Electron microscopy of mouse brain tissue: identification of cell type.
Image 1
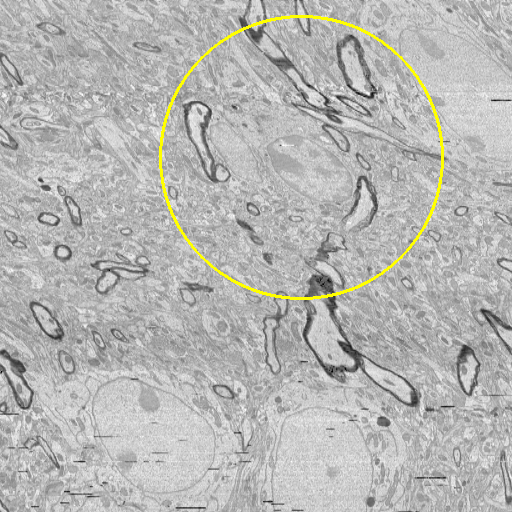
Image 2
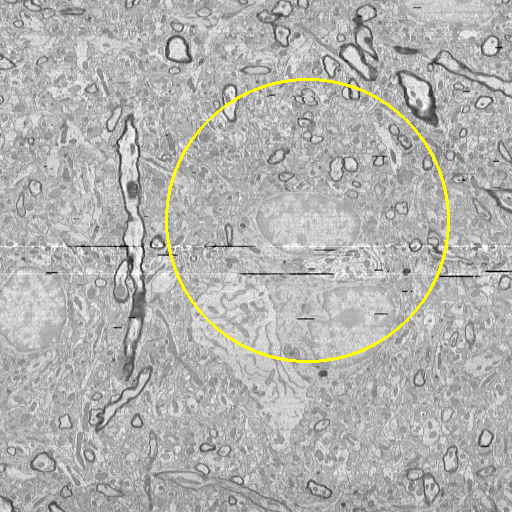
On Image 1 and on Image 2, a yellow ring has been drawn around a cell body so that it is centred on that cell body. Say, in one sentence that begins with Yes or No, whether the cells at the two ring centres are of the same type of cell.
Yes, both cells are the same type of cell.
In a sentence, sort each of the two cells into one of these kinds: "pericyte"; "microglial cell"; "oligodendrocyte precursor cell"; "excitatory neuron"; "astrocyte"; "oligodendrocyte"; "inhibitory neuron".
In the first picture and in the second, the ring is centred on an oligodendrocyte.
